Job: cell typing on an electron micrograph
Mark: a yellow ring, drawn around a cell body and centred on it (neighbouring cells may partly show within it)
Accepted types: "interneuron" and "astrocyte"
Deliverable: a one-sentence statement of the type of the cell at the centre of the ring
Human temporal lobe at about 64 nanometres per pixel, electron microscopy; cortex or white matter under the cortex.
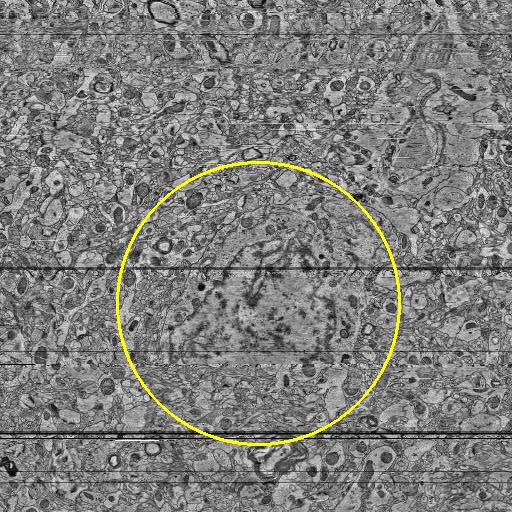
The centred cell body is that of an interneuron.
